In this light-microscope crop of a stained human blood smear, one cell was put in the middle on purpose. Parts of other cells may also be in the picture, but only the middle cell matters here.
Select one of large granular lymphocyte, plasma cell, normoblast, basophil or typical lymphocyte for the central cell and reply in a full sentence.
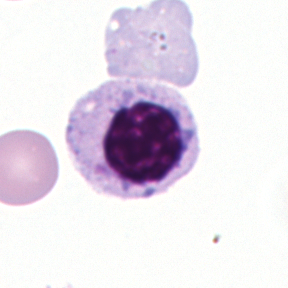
The cell centered in this field of view is a normoblast.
